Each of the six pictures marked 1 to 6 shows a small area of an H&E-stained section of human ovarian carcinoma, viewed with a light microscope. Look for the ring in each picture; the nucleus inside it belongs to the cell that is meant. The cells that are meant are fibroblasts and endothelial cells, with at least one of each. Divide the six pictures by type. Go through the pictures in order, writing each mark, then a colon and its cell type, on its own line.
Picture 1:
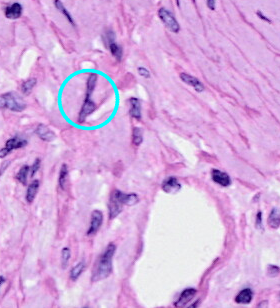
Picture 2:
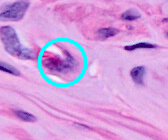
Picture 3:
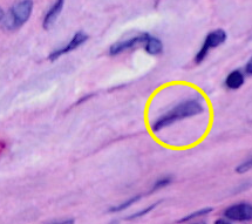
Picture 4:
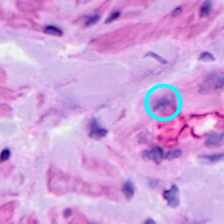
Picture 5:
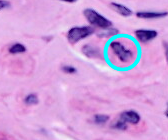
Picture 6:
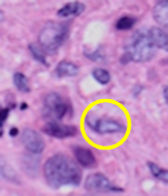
1: fibroblast
2: endothelial cell
3: fibroblast
4: endothelial cell
5: endothelial cell
6: fibroblast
